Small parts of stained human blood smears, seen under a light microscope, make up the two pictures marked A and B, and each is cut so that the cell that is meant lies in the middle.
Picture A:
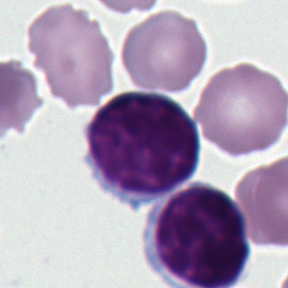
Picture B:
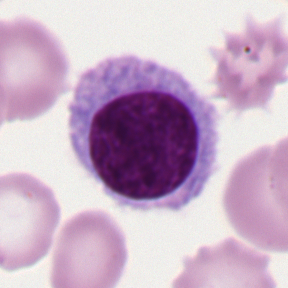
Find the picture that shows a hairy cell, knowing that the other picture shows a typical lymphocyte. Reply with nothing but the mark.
B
